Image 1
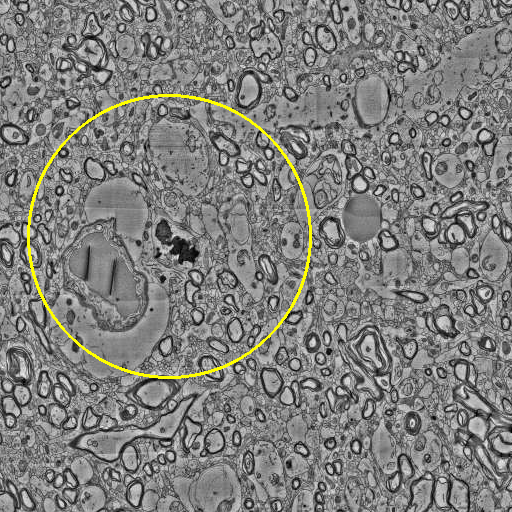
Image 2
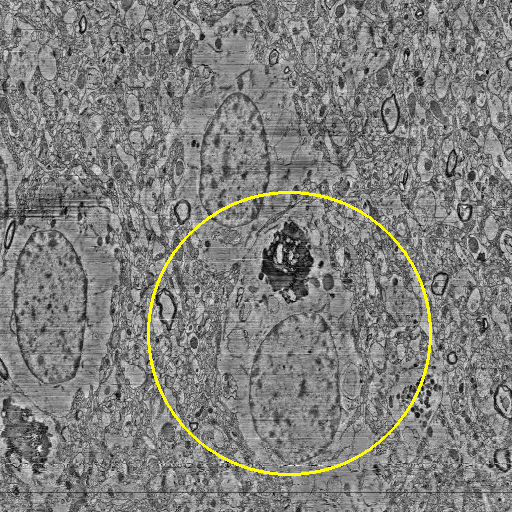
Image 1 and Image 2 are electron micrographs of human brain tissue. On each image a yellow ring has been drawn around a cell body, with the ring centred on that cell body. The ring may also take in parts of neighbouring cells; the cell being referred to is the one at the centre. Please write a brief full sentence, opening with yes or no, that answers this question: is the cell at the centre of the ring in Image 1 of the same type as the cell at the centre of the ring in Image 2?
No, the two cells are of two types.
